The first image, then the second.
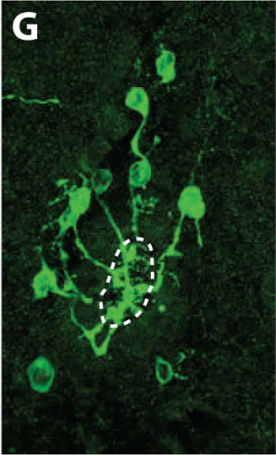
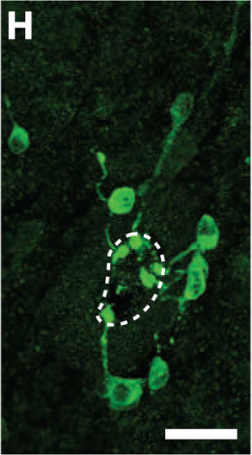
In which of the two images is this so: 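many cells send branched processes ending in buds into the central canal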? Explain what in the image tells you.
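Second image: few processes reach the outlined canal, with only a few small swellings inside it. First image: many thick processes converge on the outlined canal and end in several swellings inside it.
Hence: the first image.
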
